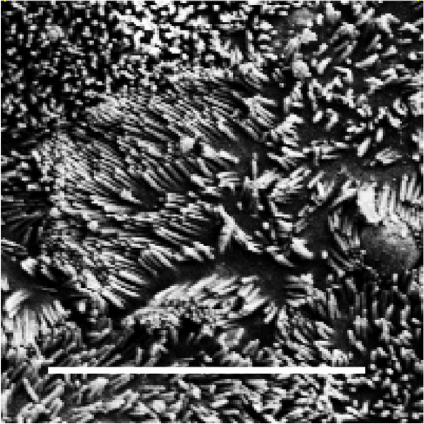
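The microvilli are long, thin, finger-like projections packed densely together. In places they lie in parallel, combed-looking arrays, forming tufts that cover nearly the whole surface with little bare membrane visible.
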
